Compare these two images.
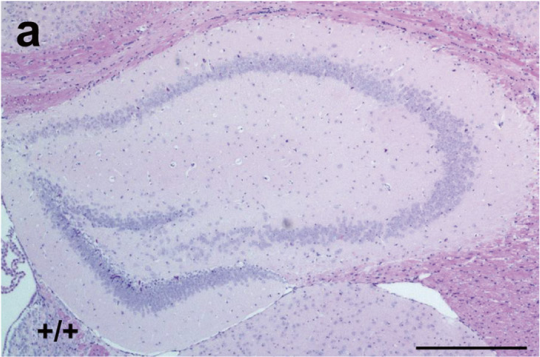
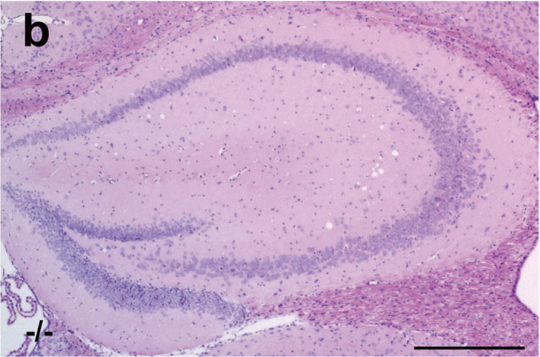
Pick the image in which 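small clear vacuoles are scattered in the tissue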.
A: the second image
